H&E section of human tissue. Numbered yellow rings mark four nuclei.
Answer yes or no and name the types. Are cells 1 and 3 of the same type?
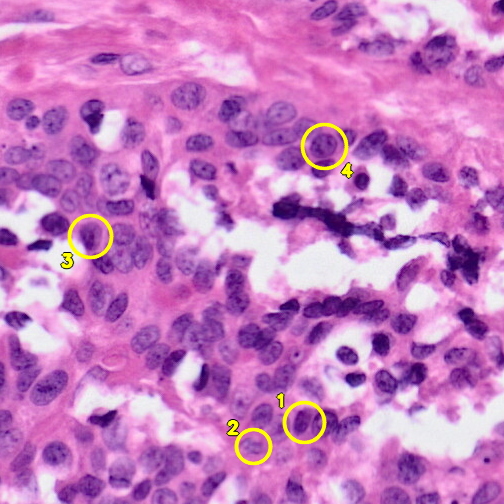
Yes, cell number 1 and cell number 3 are both carcinoma cells.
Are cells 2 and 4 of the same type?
No, the correct reading has cell 2 as an endothelial cell and cell 4 as a carcinoma cell.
